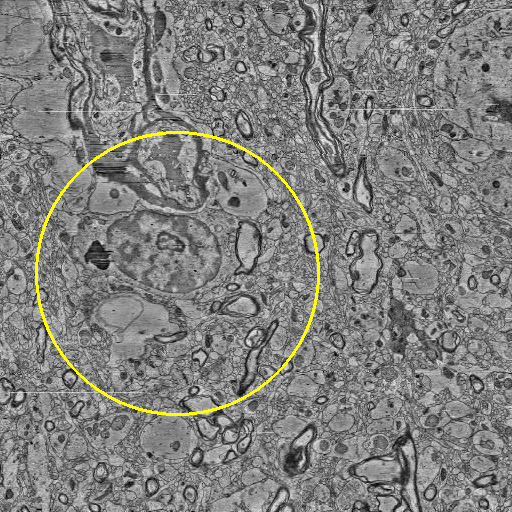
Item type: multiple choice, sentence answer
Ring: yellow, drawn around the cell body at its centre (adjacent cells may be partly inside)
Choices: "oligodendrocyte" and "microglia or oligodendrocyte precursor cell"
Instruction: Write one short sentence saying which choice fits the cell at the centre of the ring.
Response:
This ring is drawn around an oligodendrocyte.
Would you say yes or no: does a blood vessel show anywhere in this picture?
Yes, there is a blood vessel.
